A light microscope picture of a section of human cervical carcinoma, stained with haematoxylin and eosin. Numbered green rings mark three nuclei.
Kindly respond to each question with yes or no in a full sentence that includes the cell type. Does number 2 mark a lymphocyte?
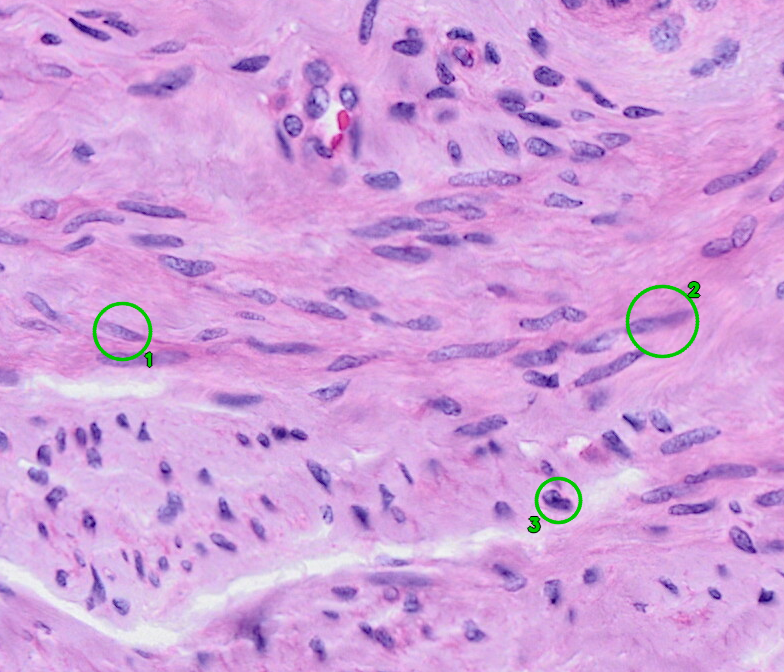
No, the cell identified by number 2 is a fibroblast, not a lymphocyte.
